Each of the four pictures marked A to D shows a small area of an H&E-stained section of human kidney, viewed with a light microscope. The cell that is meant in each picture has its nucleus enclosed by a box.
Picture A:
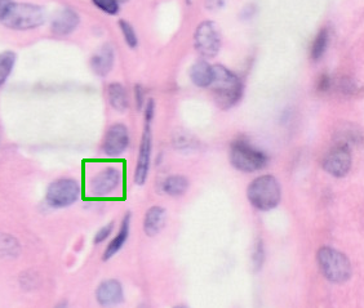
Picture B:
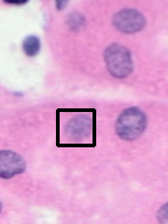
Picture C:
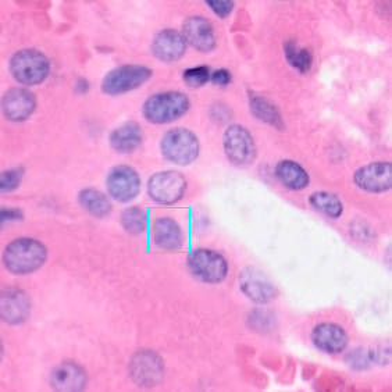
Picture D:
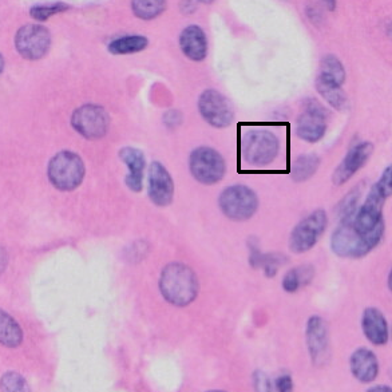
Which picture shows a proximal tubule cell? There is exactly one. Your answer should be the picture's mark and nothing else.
B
